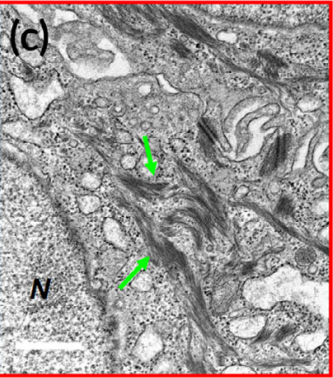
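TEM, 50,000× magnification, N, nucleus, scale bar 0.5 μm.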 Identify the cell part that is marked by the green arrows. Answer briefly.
Keratin filament bundles.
